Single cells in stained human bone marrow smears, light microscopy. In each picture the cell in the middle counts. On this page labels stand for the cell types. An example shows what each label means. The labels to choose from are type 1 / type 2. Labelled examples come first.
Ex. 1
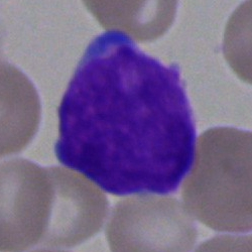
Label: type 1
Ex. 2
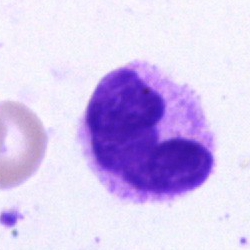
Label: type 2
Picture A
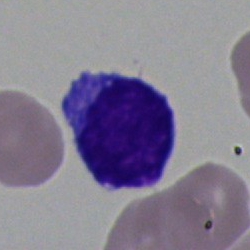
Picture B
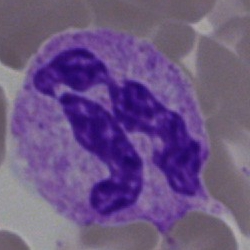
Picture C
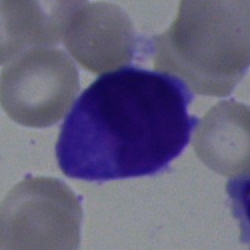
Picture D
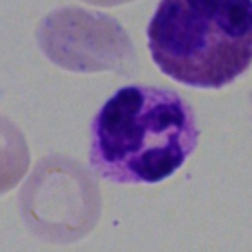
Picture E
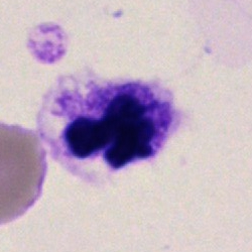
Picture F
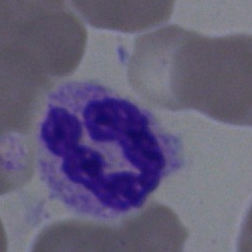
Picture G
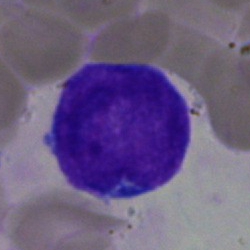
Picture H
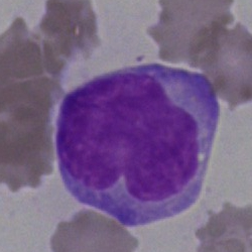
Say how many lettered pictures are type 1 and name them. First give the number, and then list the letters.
Count: 4 (A, C, G, H)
